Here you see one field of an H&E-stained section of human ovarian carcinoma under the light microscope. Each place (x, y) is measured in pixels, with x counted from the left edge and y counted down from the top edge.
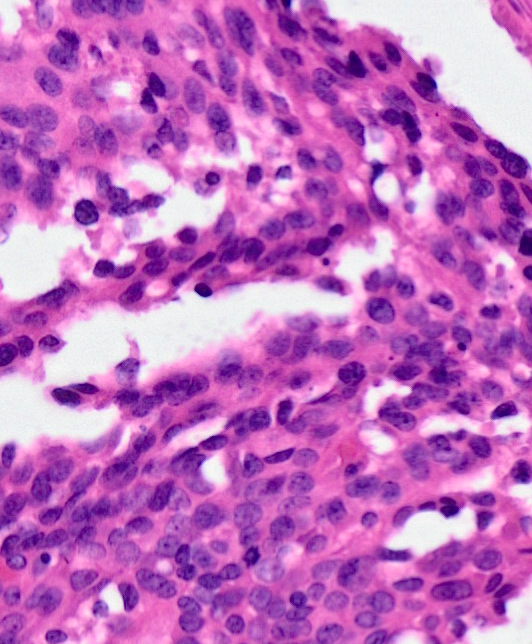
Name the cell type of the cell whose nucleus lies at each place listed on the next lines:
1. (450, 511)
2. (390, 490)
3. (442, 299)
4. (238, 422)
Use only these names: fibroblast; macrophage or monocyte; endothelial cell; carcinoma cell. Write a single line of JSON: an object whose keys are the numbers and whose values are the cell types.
{"1": "carcinoma cell", "2": "carcinoma cell", "3": "macrophage or monocyte", "4": "carcinoma cell"}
